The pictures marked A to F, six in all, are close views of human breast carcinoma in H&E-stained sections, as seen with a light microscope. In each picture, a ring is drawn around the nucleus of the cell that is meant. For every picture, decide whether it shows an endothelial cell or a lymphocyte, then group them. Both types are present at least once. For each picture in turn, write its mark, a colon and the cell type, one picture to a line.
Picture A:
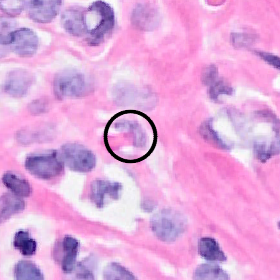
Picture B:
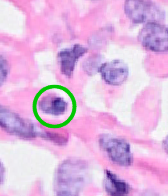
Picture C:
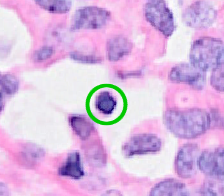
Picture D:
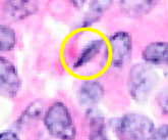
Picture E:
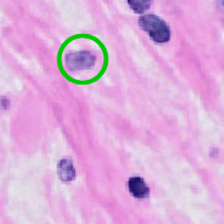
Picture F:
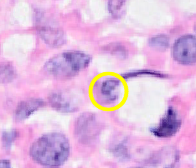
A: endothelial cell
B: lymphocyte
C: lymphocyte
D: endothelial cell
E: lymphocyte
F: endothelial cell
